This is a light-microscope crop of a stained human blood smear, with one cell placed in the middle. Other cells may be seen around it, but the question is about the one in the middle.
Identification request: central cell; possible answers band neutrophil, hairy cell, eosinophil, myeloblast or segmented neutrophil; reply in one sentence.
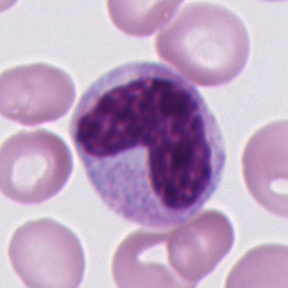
Framed in the middle of the crop is a band neutrophil.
